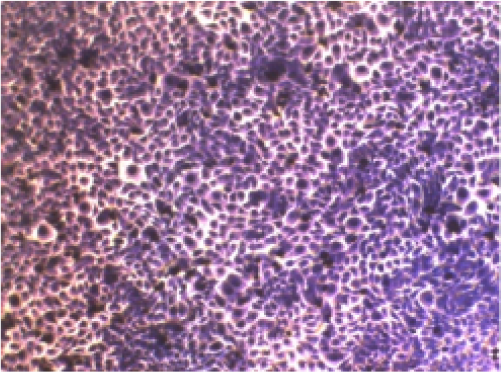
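The cells cover the whole field as a continuous sheet, packed closely side by side. Individual cells are small and roughly polygonal, giving a fine cobblestone texture. Only tiny pale spaces show between neighbouring cells, and no large bare areas of the dish are seen. Scattered darker dots mark more densely stained cells within the sheet.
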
